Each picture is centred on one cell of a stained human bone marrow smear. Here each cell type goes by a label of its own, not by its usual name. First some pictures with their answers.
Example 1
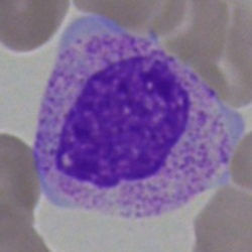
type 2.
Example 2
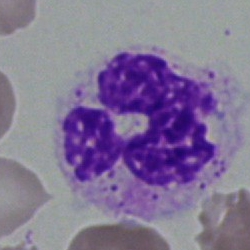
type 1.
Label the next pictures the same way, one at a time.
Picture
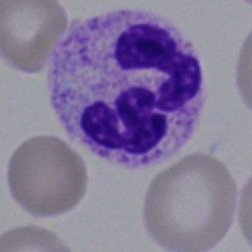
type 1.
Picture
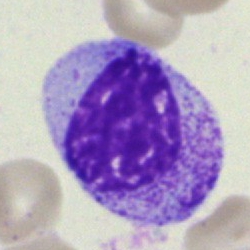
type 2.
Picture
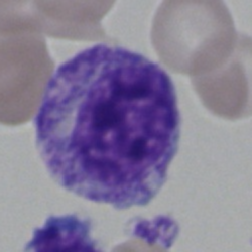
type 2.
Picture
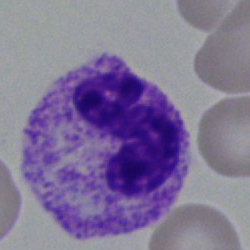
type 1.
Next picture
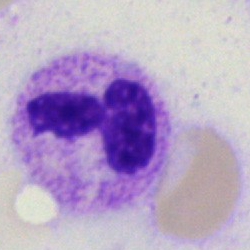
type 1.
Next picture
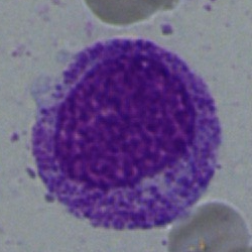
type 2.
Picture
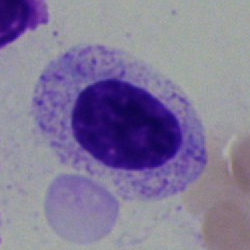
type 2.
